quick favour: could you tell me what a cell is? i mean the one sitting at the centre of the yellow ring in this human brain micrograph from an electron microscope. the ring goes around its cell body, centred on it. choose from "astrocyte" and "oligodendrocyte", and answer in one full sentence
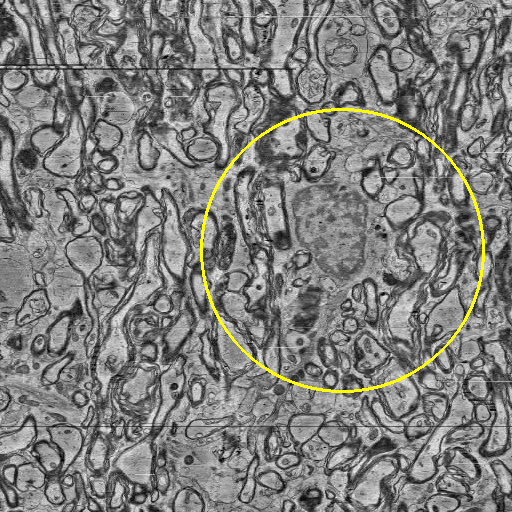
That's an oligodendrocyte, the cell sitting at the centre of the yellow ring.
